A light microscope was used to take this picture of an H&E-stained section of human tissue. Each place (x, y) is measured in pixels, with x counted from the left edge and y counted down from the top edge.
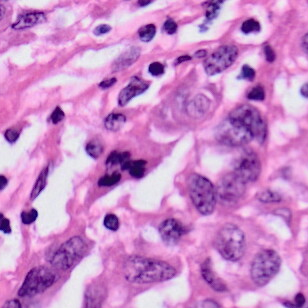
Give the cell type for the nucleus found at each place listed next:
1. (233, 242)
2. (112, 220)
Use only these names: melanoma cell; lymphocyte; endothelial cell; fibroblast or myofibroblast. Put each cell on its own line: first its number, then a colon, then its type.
1: melanoma cell
2: lymphocyte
